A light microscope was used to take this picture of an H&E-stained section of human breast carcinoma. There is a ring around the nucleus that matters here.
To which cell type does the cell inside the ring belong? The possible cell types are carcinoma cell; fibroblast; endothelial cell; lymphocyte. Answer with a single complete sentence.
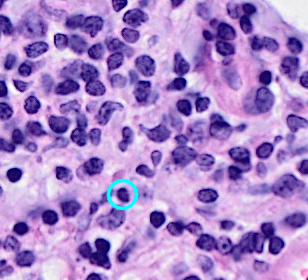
Speaking plainly, the cell inside the ring is nothing other than a lymphocyte.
